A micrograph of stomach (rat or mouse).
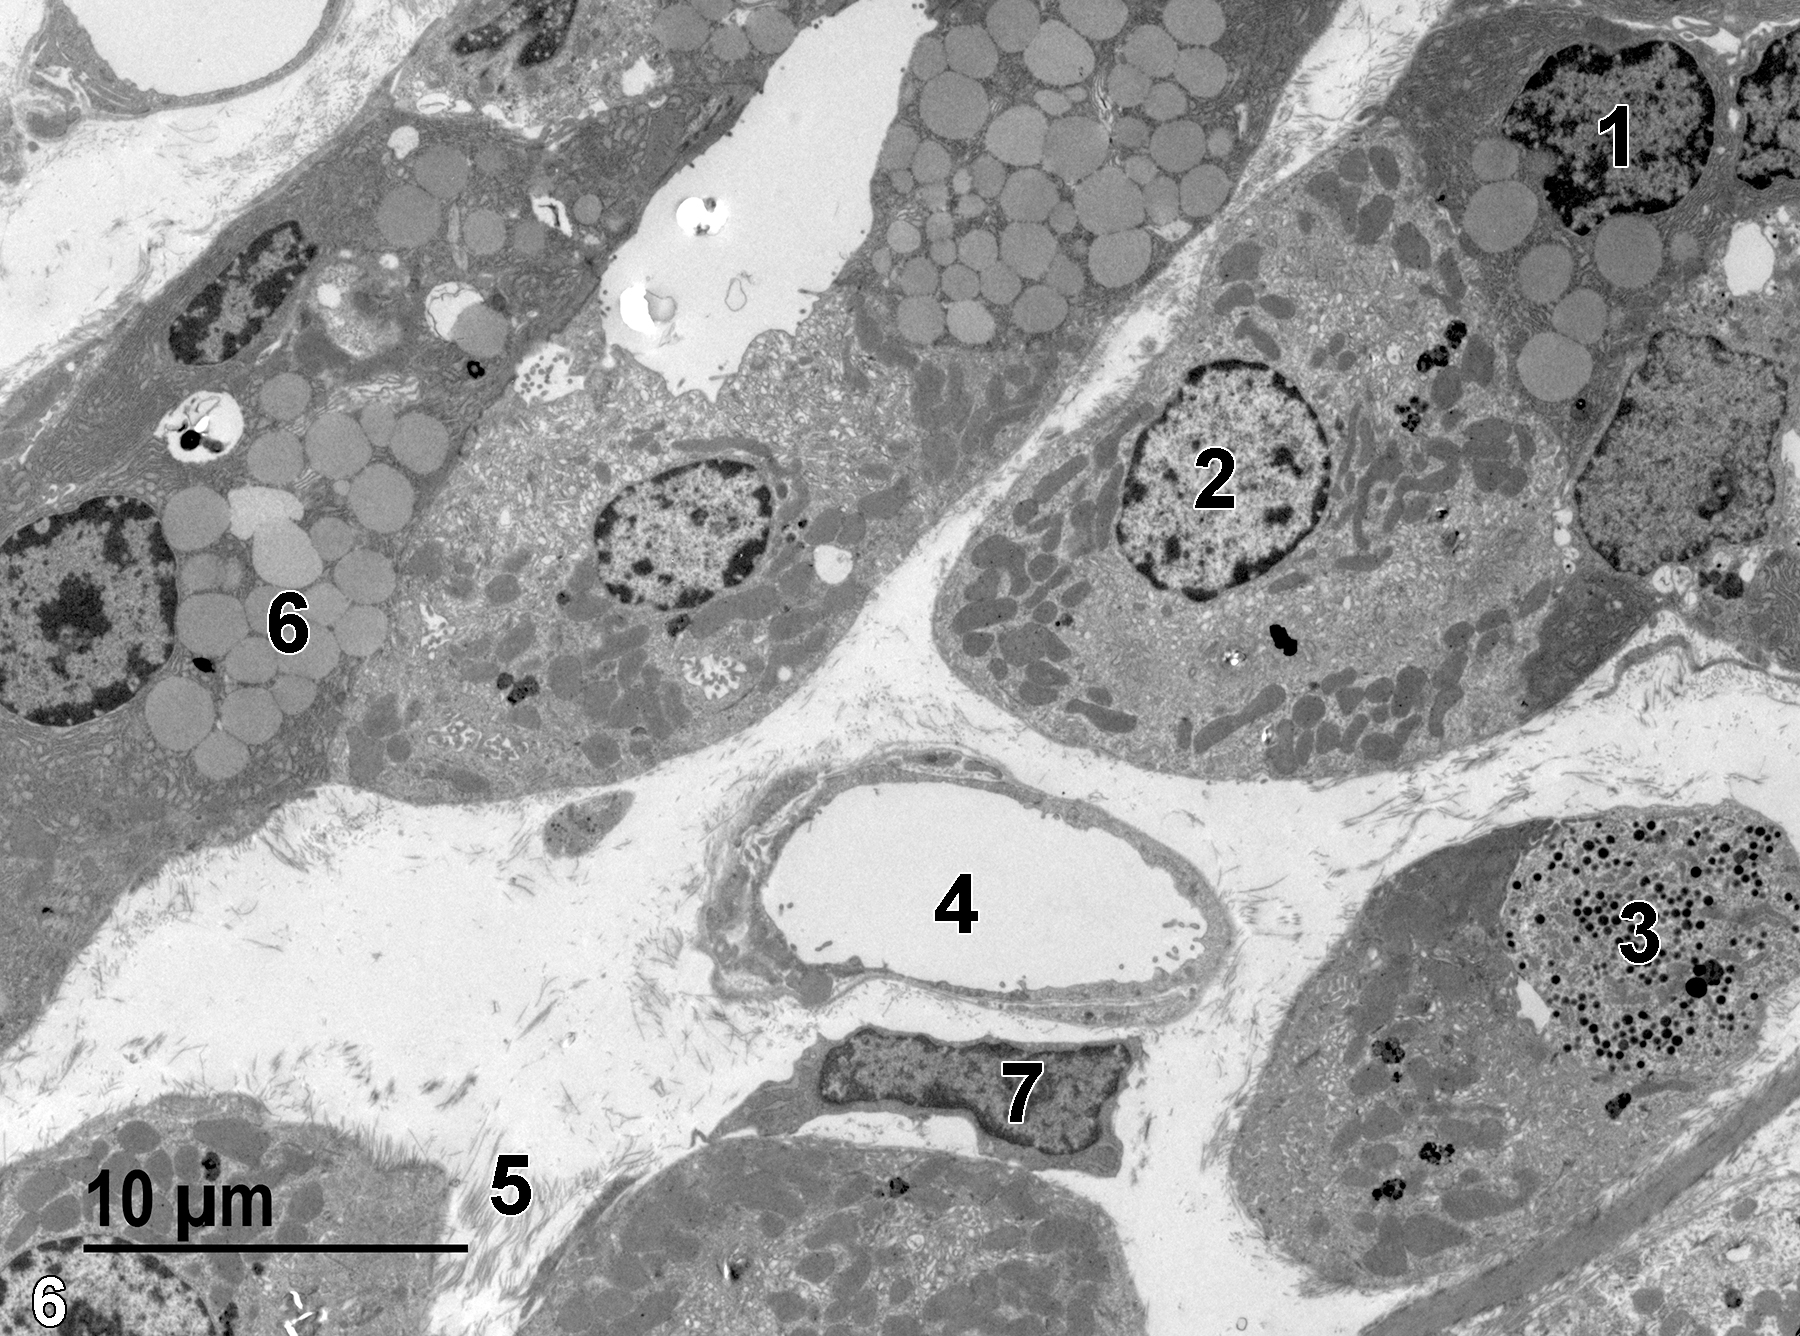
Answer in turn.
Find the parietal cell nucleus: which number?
2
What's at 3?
3 marks the enteroendocrine cell.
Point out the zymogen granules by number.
6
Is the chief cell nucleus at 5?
No: the loose collagenous matrix.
